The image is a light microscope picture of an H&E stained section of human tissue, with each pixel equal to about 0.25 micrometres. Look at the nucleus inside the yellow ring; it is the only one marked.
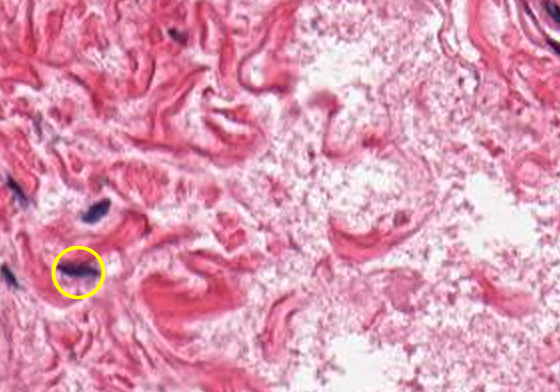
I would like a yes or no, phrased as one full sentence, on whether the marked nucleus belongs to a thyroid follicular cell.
No, the marked nucleus is not the nucleus of a thyroid follicular cell but of a supporting cell.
